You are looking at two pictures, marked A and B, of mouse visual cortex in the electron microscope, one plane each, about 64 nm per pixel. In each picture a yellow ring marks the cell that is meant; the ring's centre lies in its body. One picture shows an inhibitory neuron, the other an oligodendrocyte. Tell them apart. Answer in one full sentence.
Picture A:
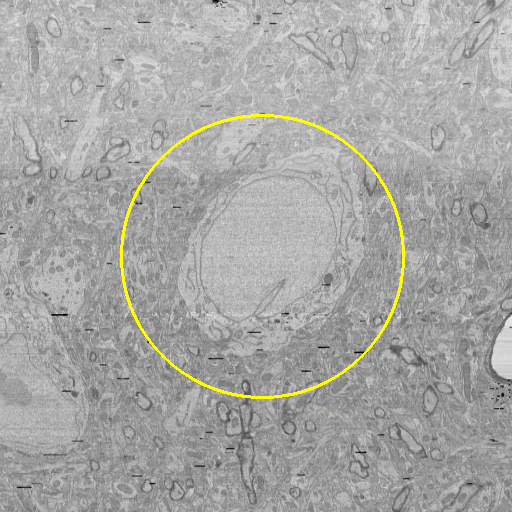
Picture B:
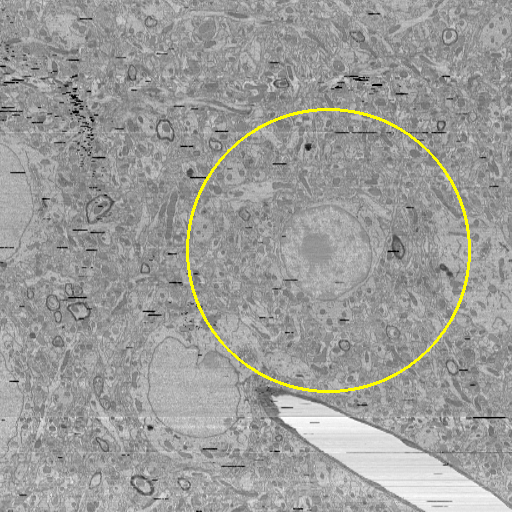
In picture A the cell is an inhibitory neuron; in picture B, an oligodendrocyte.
